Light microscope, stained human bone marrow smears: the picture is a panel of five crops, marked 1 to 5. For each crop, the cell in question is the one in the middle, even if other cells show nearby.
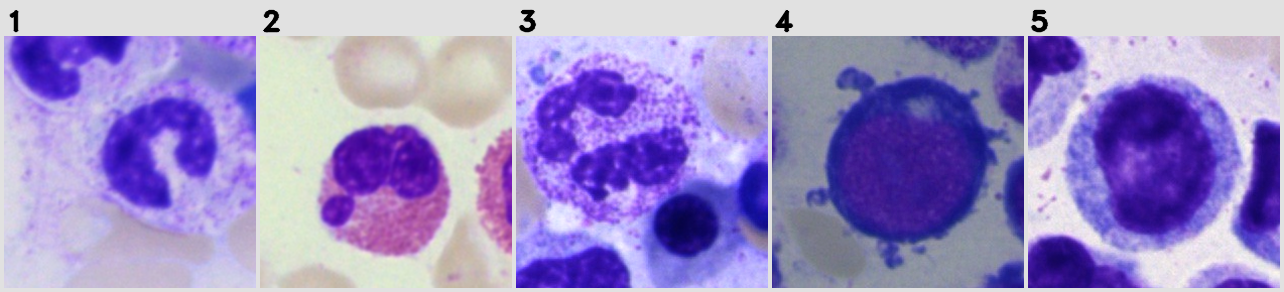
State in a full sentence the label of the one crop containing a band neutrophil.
The one showing a band neutrophil is crop 1.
